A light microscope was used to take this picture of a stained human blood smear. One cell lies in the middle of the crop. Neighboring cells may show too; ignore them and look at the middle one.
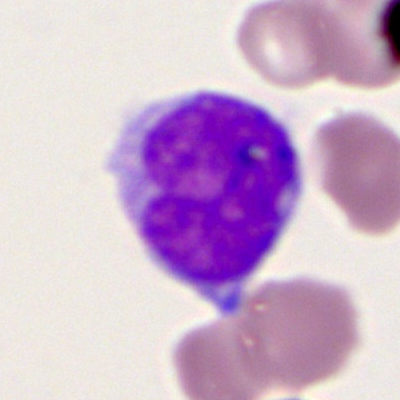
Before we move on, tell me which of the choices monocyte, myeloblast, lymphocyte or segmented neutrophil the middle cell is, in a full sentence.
Framed in the middle of the crop is a monocyte.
